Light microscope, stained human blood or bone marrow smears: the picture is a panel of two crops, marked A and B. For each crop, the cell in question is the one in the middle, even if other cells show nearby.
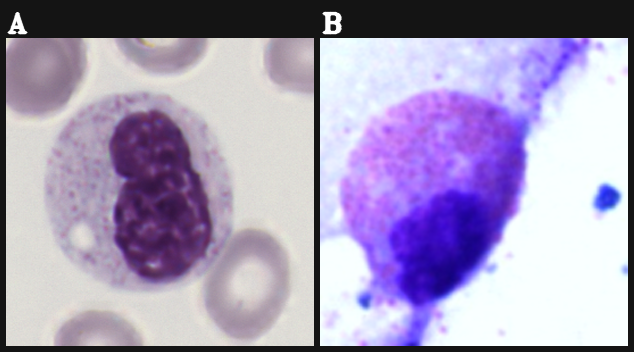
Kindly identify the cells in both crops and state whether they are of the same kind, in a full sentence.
No, crop A is of a band neutrophil, and crop B is of an eosinophil.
